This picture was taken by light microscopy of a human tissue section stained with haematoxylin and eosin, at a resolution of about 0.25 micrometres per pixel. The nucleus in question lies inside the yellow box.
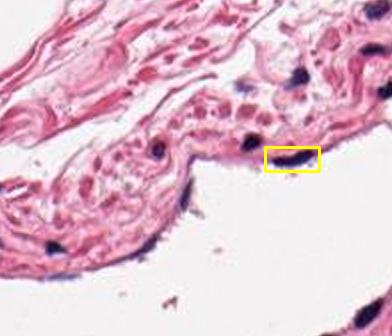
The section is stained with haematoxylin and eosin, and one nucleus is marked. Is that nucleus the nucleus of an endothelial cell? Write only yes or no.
yes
